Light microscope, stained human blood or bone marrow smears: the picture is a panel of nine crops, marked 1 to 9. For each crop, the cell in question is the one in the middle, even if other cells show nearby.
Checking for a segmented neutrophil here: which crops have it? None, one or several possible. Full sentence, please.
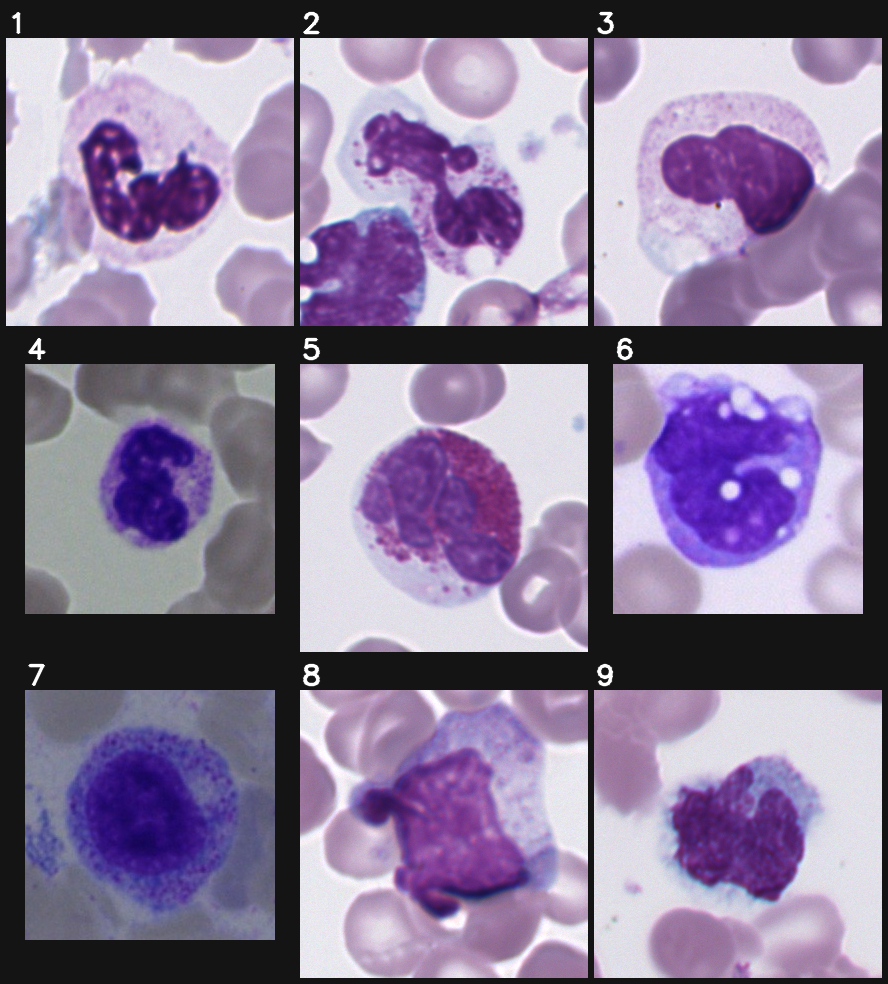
In crops 1, 2, 3 and 4, segmented neutrophils occupy the centre.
